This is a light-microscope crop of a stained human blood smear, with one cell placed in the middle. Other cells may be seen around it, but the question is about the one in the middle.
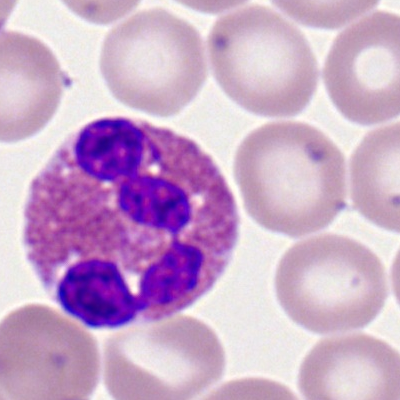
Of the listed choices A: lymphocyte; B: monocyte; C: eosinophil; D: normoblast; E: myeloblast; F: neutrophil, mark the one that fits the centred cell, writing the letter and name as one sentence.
Identification: the cell in the middle is an eosinophil, matching option C.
